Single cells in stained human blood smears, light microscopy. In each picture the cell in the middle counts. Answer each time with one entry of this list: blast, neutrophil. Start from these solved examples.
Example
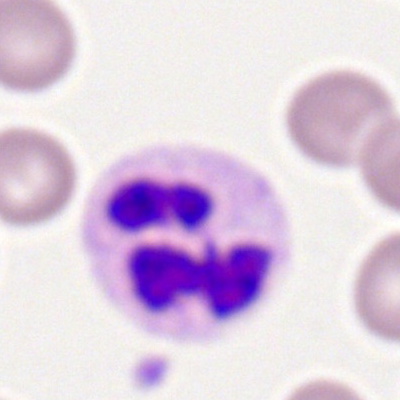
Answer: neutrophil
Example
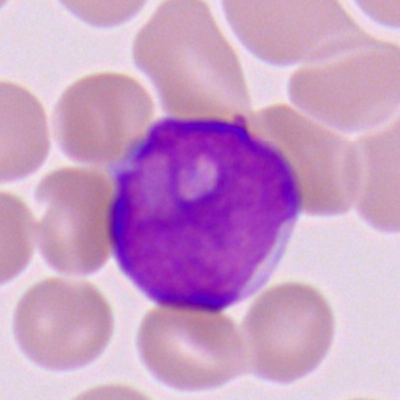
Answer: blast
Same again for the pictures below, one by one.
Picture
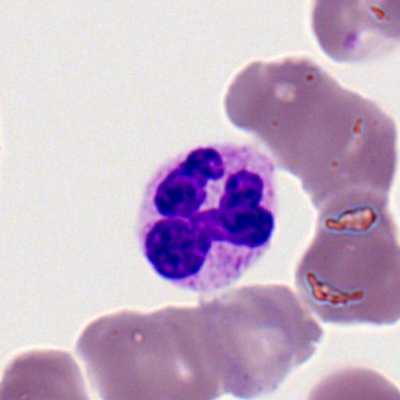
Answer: neutrophil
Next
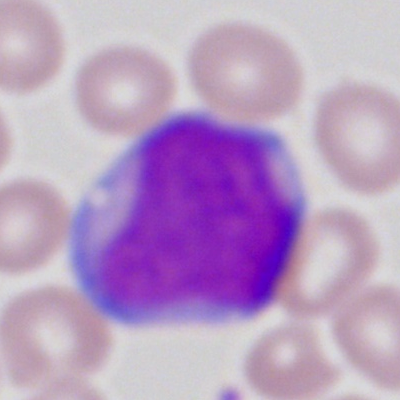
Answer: blast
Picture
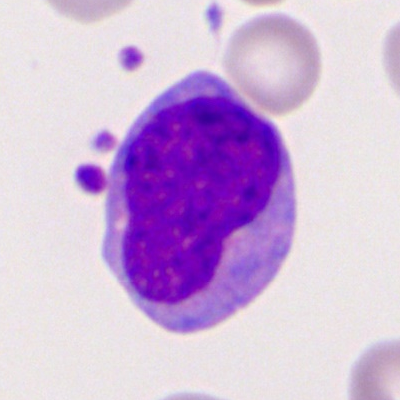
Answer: blast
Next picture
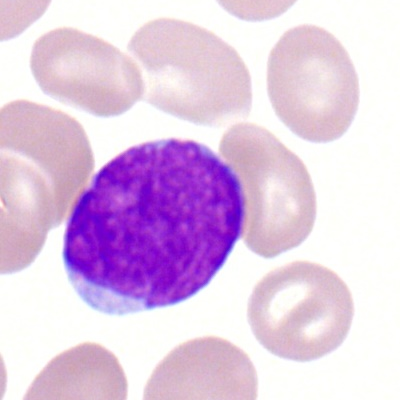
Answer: blast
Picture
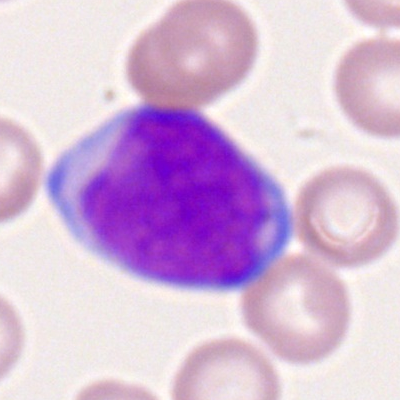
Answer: blast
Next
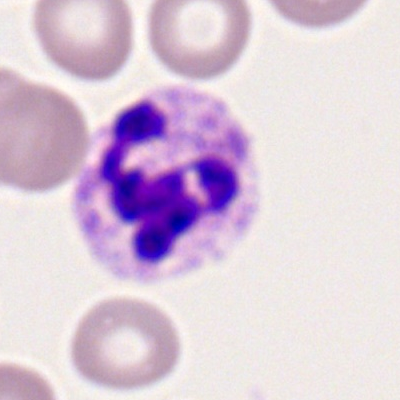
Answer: neutrophil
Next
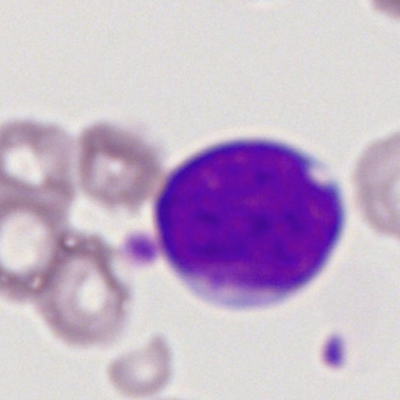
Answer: blast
